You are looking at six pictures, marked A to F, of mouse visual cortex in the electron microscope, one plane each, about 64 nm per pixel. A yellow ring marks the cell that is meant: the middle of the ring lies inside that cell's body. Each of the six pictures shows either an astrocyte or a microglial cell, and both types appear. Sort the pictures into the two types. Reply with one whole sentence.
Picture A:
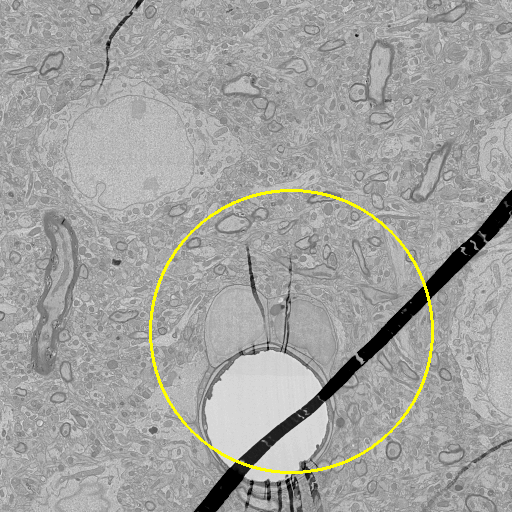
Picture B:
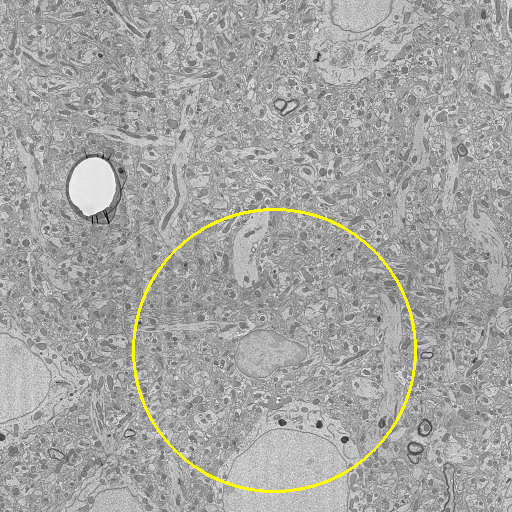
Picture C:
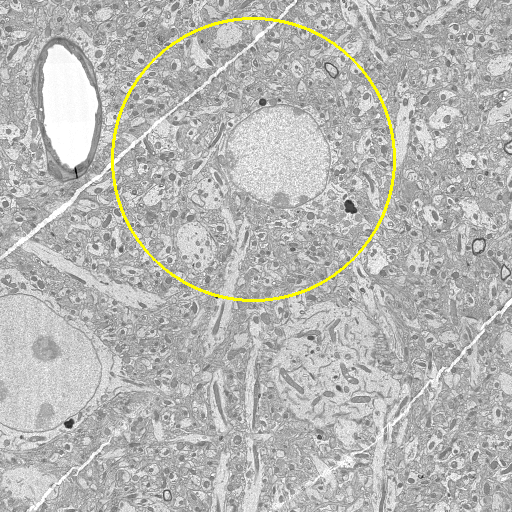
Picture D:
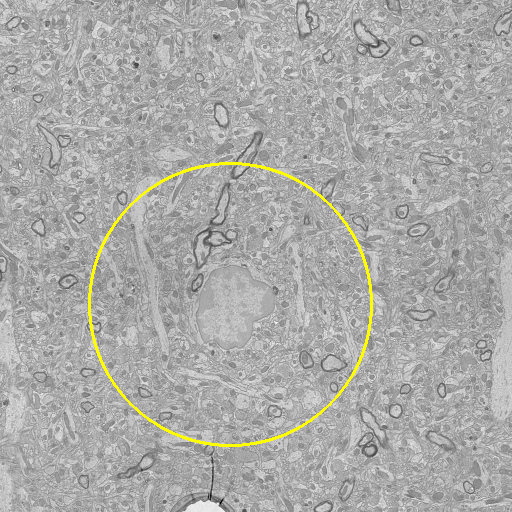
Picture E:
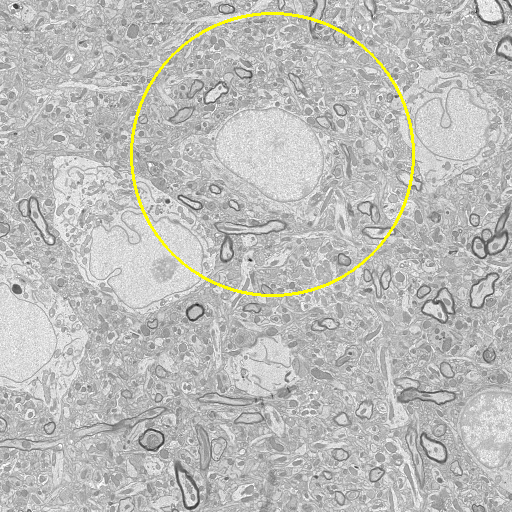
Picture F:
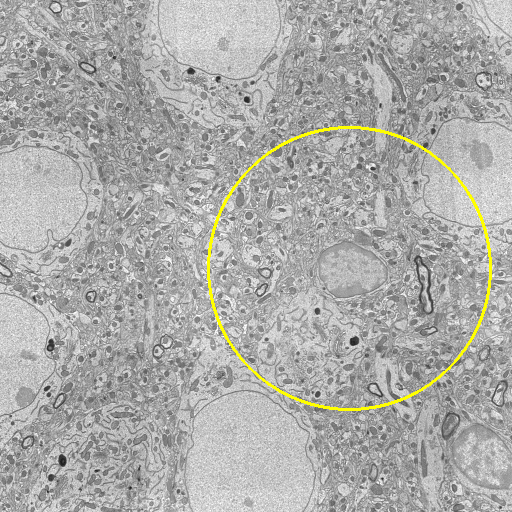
Pictures C and E show astrocytes, while pictures A, B, D and F show microglial cells.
